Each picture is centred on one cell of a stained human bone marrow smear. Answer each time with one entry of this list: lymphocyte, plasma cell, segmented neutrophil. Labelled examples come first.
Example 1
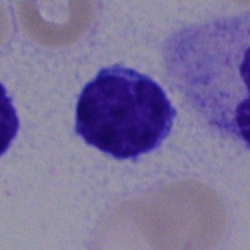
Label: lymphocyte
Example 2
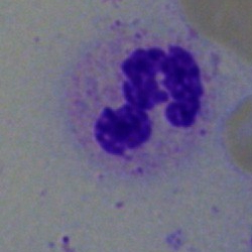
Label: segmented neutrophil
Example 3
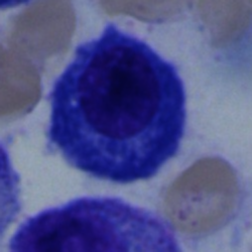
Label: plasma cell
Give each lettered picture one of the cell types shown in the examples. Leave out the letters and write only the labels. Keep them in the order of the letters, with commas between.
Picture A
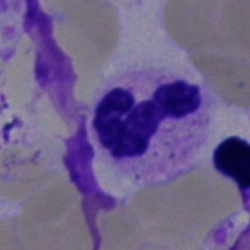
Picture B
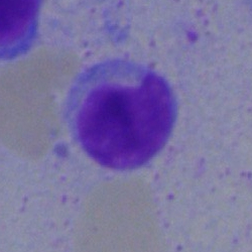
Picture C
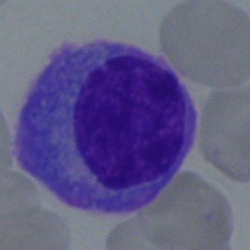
segmented neutrophil, lymphocyte, plasma cell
